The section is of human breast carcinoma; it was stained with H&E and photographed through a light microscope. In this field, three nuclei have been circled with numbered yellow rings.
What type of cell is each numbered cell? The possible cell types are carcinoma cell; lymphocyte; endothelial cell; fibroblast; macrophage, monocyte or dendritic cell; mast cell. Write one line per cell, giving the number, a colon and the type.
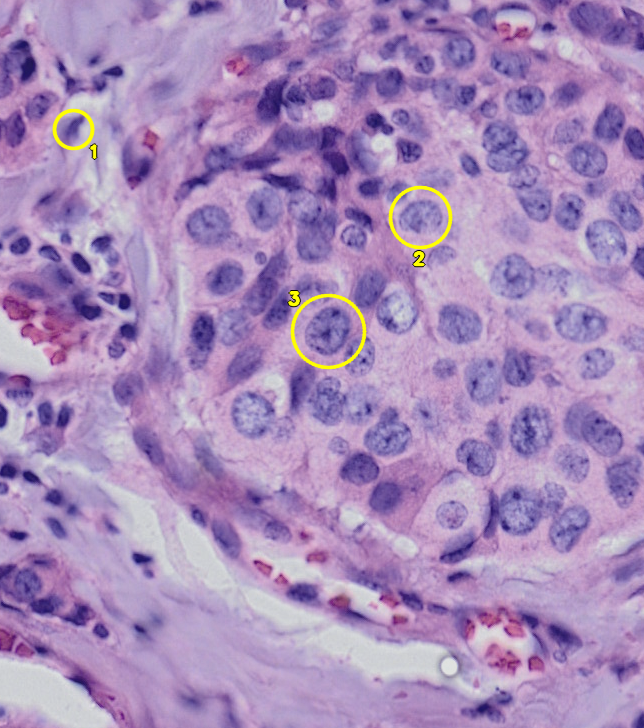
1: fibroblast
2: carcinoma cell
3: carcinoma cell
